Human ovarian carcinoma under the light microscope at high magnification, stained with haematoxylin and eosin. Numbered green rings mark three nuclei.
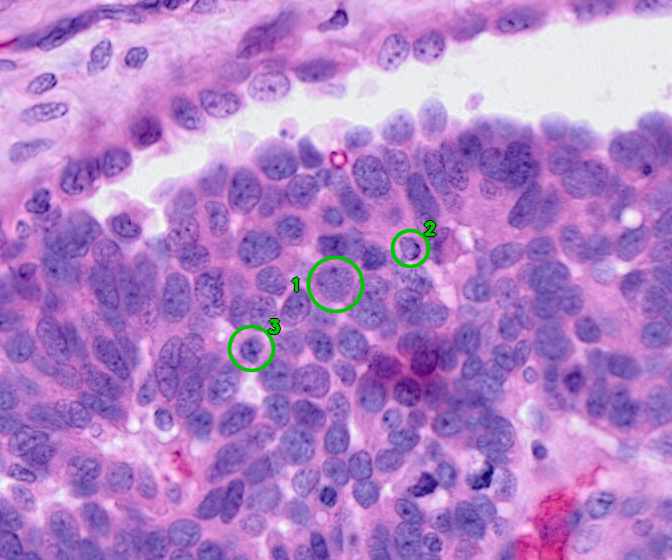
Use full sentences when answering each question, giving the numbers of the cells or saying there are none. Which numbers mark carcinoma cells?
With the exception of cell 1, no marked cell is a carcinoma cell.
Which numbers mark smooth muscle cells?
No numbered cell in this section is one of the smooth muscle cells.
